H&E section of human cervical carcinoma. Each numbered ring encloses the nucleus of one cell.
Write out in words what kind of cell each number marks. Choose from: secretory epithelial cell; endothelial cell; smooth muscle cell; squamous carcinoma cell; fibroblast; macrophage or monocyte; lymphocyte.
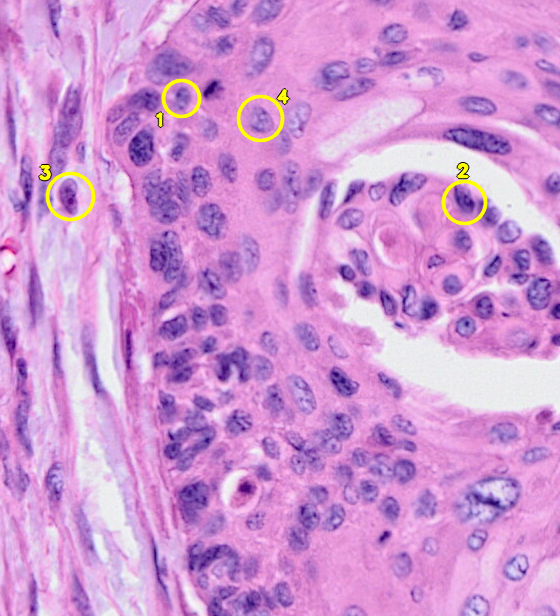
Cells 1, 2 and 4 are squamous carcinoma cells. Cell 3 is a macrophage or monocyte.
